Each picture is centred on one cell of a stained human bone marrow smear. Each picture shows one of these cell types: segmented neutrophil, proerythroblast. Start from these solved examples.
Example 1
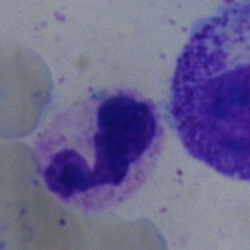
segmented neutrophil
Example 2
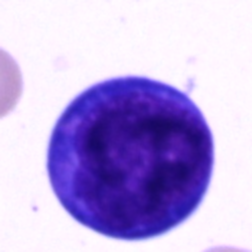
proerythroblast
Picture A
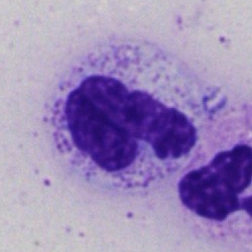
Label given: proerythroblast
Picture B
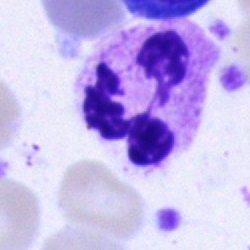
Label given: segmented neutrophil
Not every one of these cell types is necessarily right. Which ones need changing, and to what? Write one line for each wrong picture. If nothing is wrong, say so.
A should be segmented neutrophil, not proerythroblast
